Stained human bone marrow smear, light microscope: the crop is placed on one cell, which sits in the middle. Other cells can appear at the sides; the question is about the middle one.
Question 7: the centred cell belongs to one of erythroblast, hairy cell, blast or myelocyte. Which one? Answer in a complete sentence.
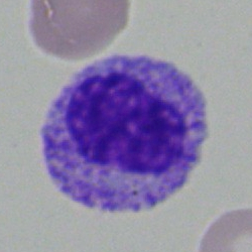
Positioned in the middle of the crop is a myelocyte.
